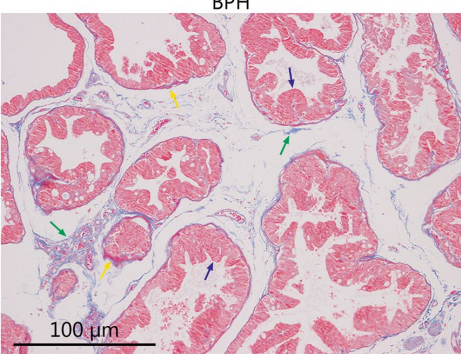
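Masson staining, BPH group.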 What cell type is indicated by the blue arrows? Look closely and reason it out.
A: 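The blue arrows point to the folded lining of the gland lumens. The lining is a red-stained cell layer projecting into the lumen.
Answer: prostatic epithelial cells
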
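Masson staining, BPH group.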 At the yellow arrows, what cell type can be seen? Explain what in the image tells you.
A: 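The yellow arrows point to the red-stained tissue at the outer edge of the glands, in the stroma. So: smooth muscle cells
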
